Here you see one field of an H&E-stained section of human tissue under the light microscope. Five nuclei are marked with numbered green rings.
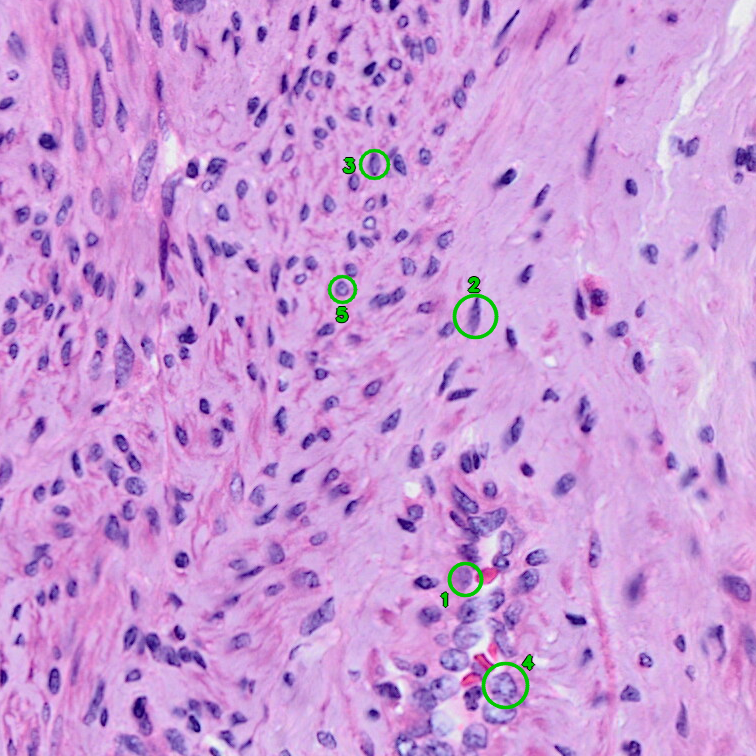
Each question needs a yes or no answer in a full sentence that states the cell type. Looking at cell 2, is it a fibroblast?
Yes, the cell whose nucleus carries number 2 is a fibroblast.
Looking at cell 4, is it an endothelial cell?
Yes, it is an endothelial cell that carries the number 4.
